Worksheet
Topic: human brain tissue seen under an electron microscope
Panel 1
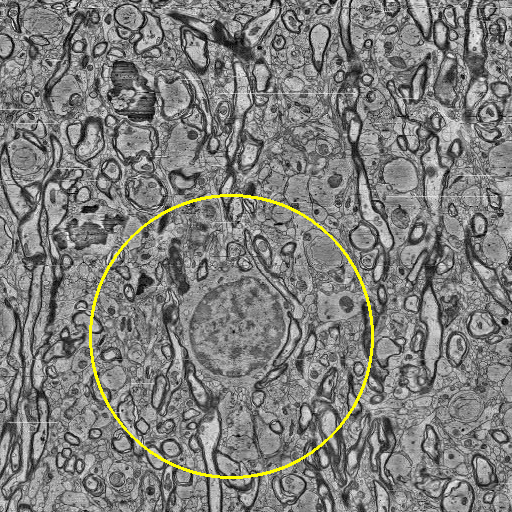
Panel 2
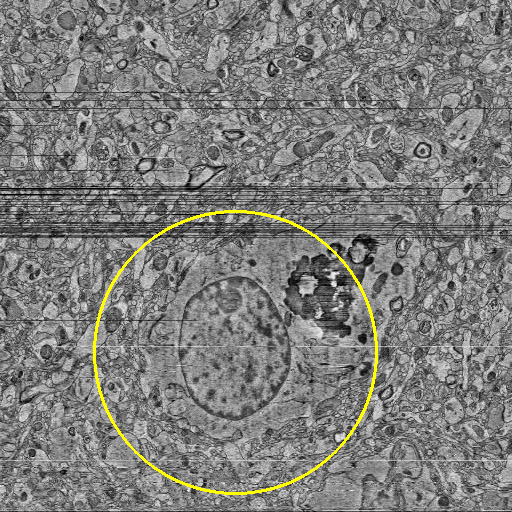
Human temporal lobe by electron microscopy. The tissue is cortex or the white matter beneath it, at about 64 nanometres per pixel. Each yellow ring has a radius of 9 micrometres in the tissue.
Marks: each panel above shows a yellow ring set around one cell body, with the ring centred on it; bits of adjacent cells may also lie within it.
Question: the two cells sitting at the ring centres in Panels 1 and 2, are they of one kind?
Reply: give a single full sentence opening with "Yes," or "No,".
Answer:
No, the two ring-centre cells in Panel 1 and Panel 2 are of two kinds.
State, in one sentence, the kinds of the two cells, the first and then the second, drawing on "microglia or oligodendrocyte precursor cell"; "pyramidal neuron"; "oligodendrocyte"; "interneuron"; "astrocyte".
The ring in the second picture is centred on an astrocyte, the ring in the first on an oligodendrocyte.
